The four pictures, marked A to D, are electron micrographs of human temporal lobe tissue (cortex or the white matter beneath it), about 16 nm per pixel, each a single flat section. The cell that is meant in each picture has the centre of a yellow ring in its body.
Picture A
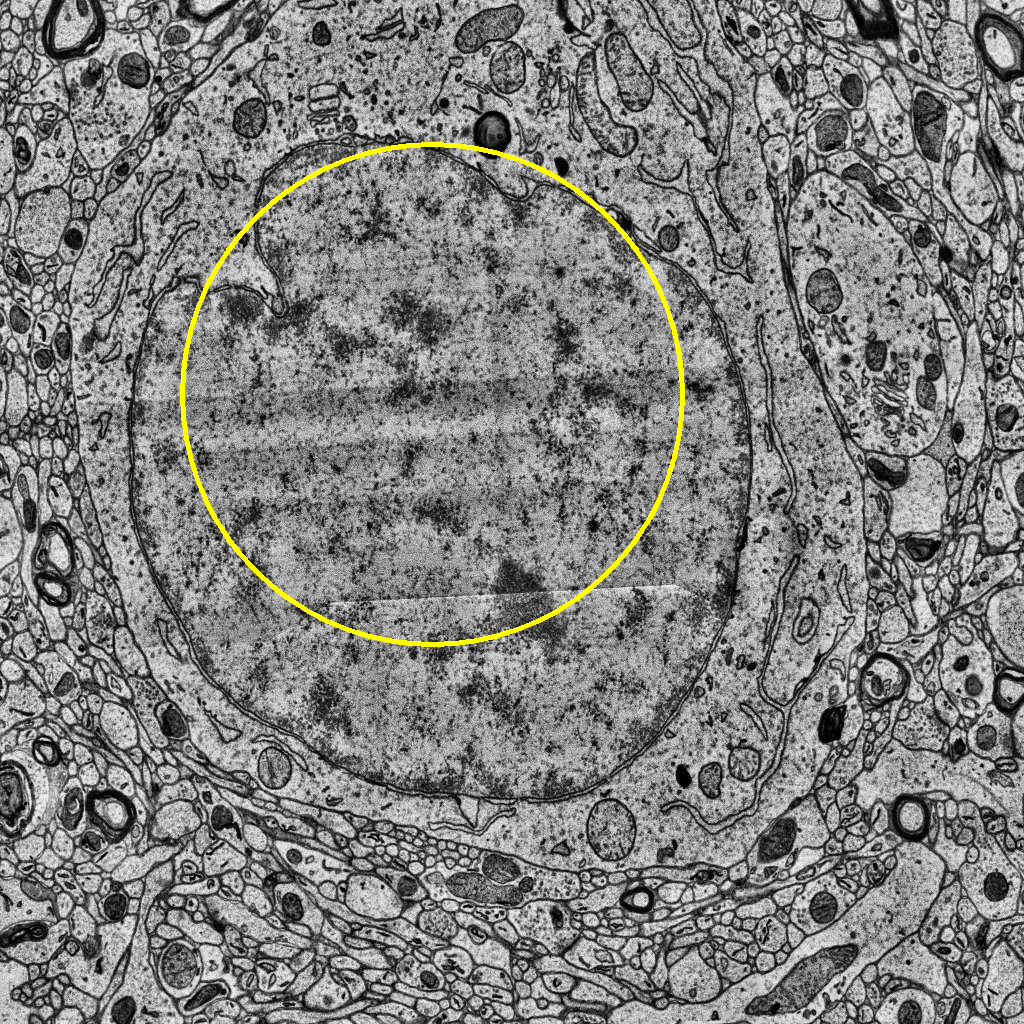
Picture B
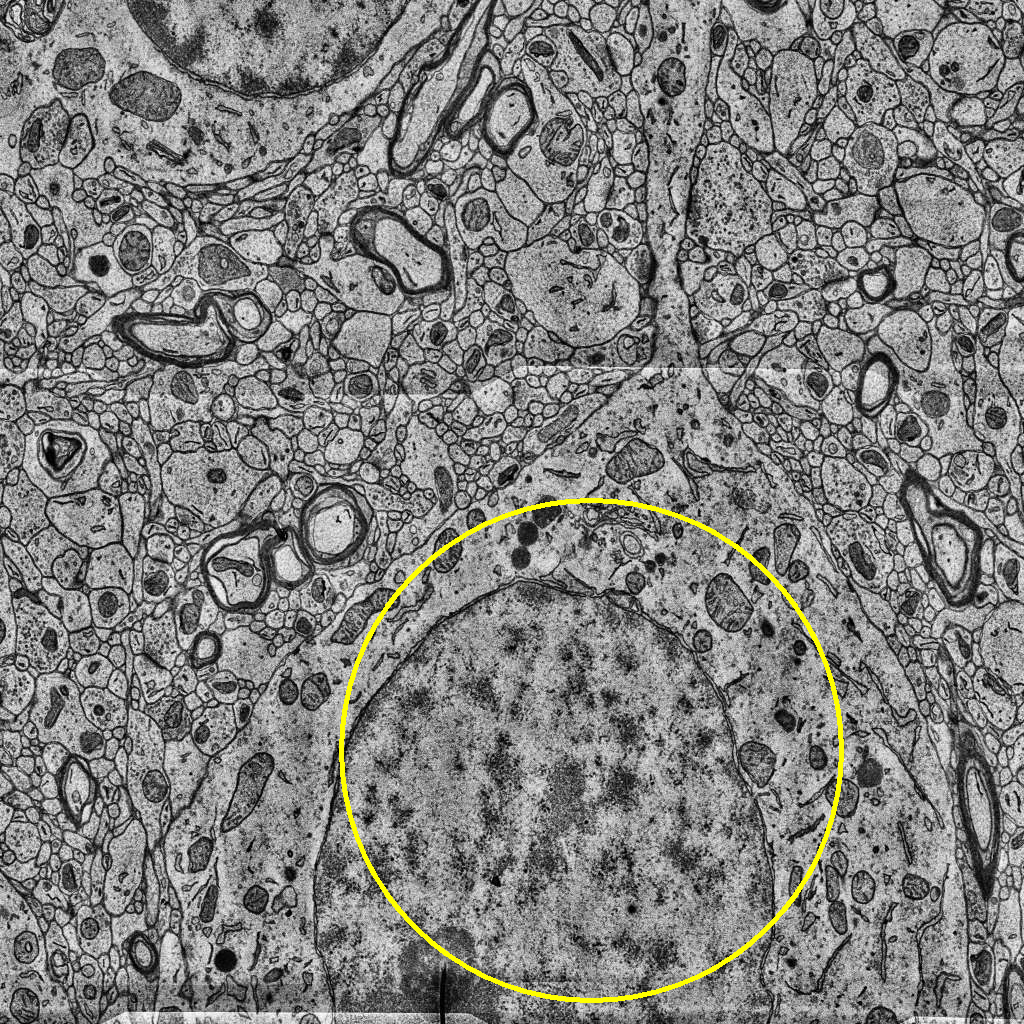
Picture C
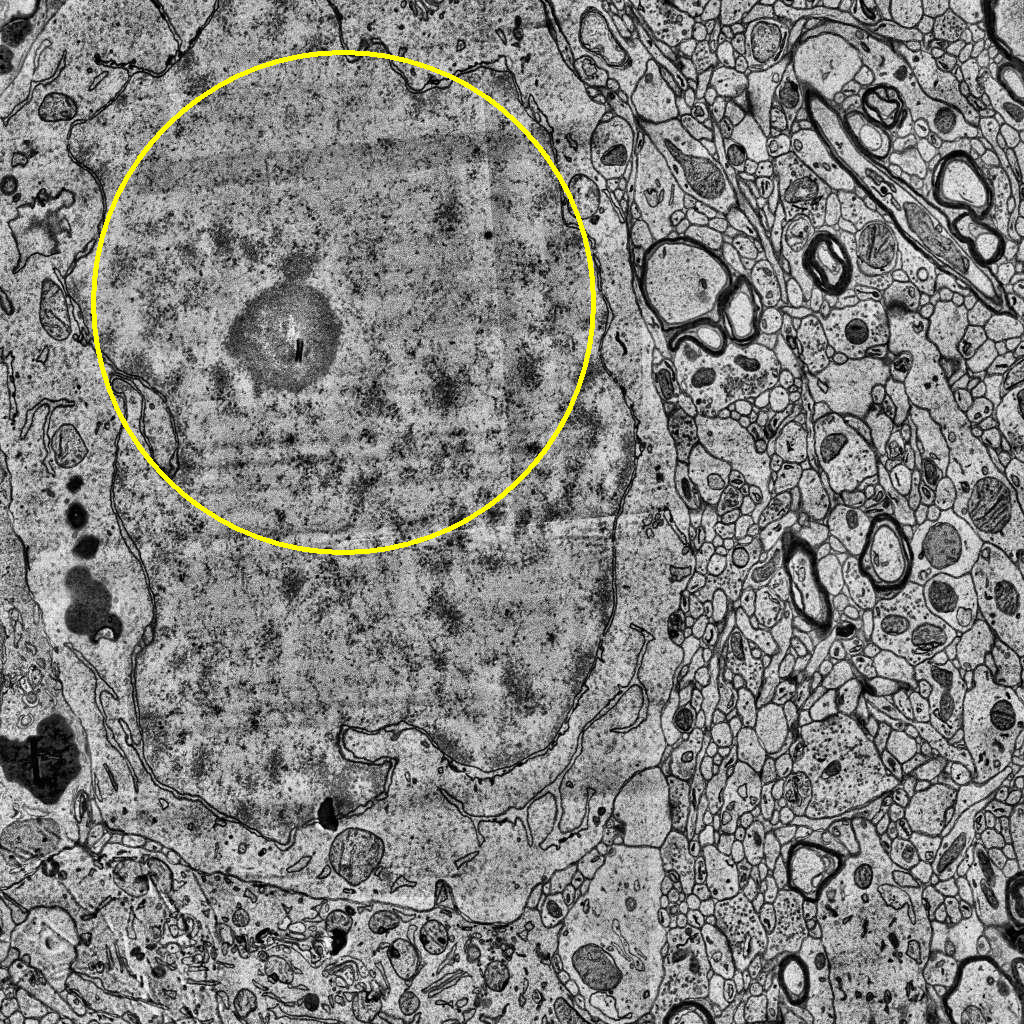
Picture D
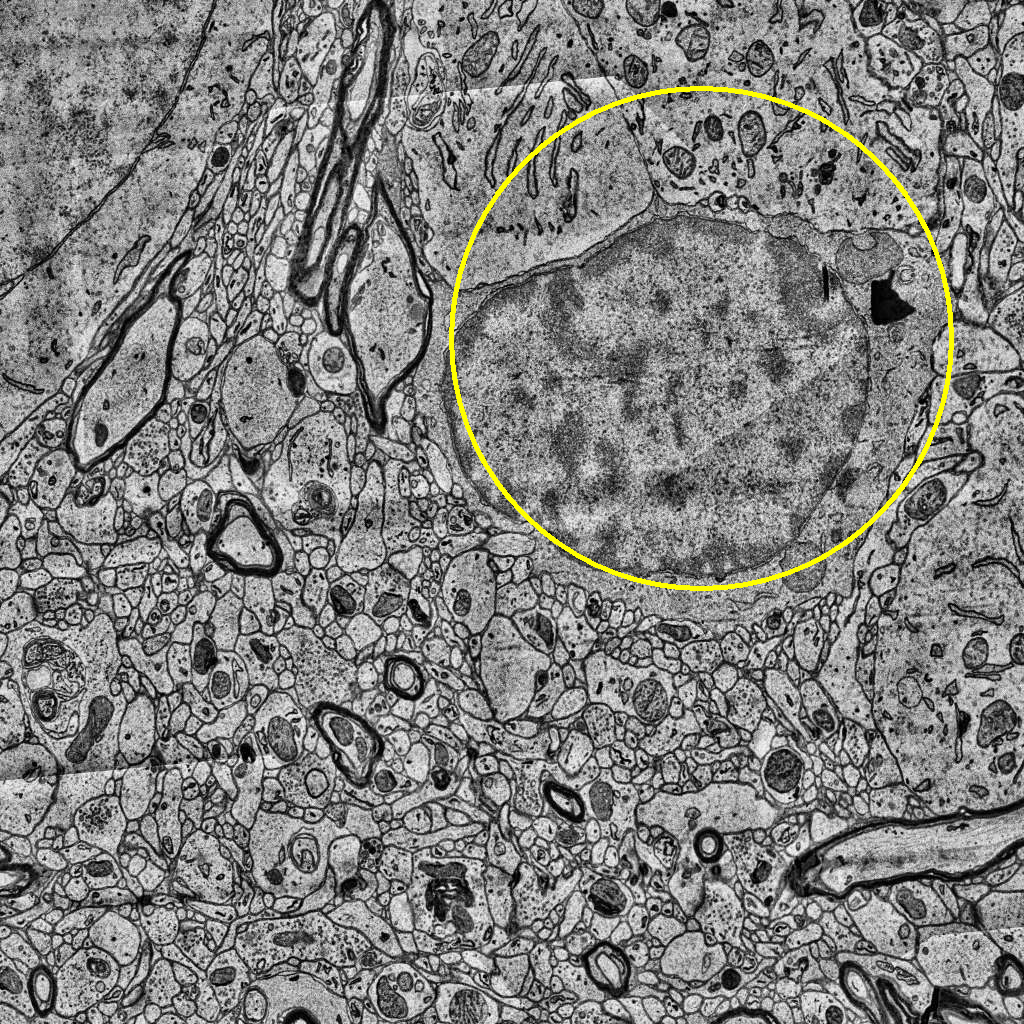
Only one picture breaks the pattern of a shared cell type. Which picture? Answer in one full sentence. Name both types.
Picture D is the odd one out: it shows an oligodendrocyte, while the others show interneurons.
